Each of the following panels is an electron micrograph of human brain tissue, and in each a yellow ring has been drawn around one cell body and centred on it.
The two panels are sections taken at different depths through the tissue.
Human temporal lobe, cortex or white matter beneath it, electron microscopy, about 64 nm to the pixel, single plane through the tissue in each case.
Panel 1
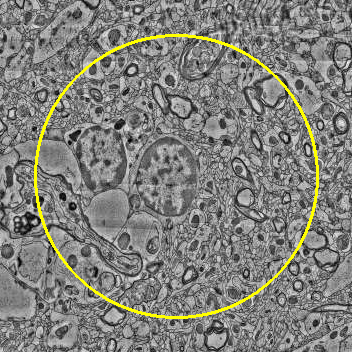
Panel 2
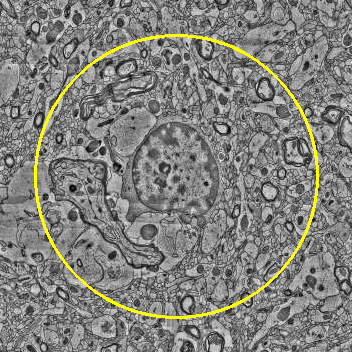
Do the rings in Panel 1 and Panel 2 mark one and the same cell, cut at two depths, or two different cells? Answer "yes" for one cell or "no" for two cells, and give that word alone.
yes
